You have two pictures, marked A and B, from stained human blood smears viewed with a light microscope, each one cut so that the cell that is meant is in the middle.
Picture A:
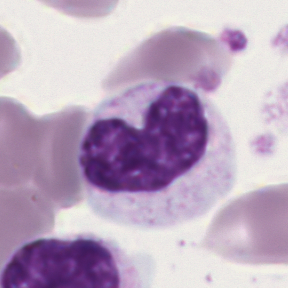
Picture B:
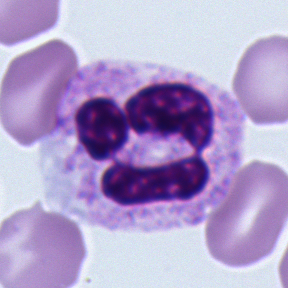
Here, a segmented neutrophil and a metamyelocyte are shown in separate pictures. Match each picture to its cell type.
A: metamyelocyte
B: segmented neutrophil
